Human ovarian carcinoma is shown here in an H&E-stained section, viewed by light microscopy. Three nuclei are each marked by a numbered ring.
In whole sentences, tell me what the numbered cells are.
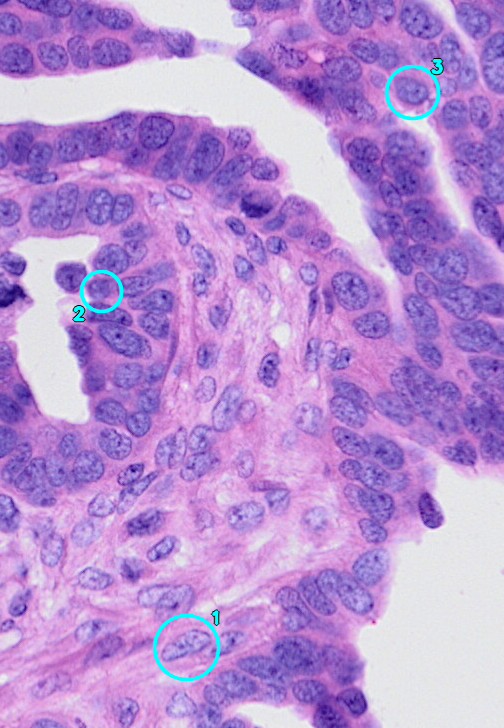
Cell 1 is a fibroblast. Cells 2 and 3 are carcinoma cells.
